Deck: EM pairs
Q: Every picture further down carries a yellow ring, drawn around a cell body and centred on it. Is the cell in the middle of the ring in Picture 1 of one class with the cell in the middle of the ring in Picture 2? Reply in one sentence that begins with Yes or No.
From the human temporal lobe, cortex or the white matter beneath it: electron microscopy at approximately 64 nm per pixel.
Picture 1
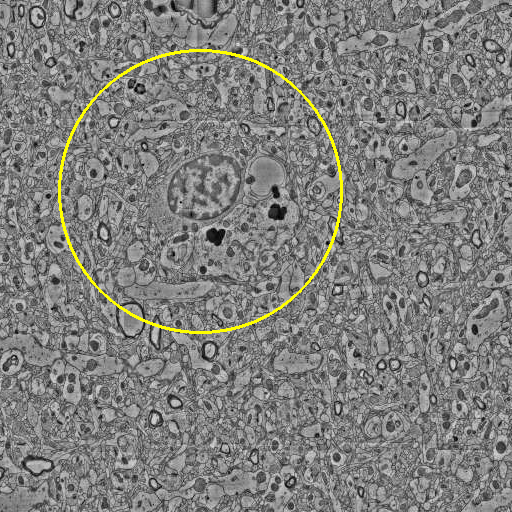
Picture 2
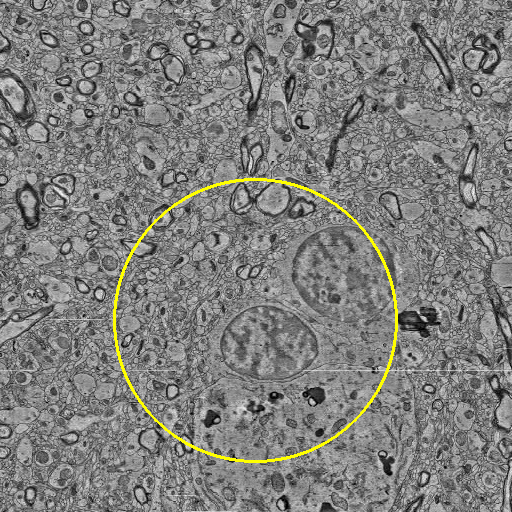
Yes, the cell centred in the ring of Picture 1 and the one in Picture 2 belong to one class.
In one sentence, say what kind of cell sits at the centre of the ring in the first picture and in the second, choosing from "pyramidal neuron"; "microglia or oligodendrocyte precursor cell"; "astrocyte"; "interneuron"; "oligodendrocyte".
The ring centre holds an oligodendrocyte in each of the two pictures.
